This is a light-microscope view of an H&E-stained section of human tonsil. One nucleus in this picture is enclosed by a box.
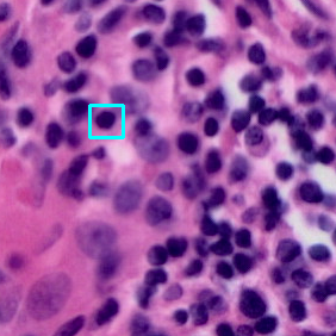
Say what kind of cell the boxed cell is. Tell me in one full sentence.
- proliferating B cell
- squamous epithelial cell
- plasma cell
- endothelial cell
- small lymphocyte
The expected answer is simply that the boxed cell is an endothelial cell.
